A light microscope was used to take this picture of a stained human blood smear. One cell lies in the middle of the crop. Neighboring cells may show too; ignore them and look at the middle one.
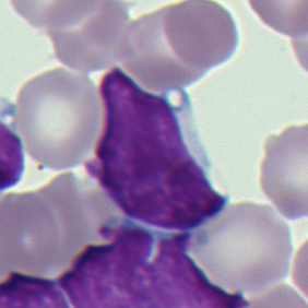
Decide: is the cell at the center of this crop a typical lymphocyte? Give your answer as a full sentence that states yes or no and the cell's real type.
Yes, that is a typical lymphocyte in the middle of the crop.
